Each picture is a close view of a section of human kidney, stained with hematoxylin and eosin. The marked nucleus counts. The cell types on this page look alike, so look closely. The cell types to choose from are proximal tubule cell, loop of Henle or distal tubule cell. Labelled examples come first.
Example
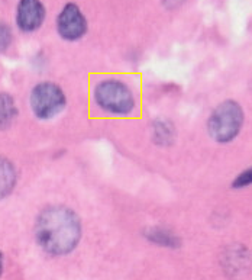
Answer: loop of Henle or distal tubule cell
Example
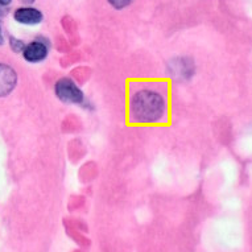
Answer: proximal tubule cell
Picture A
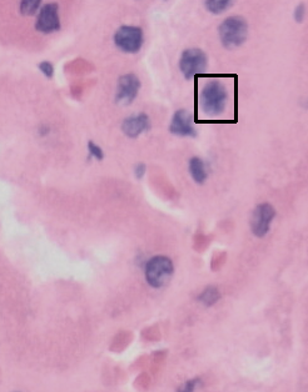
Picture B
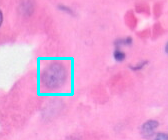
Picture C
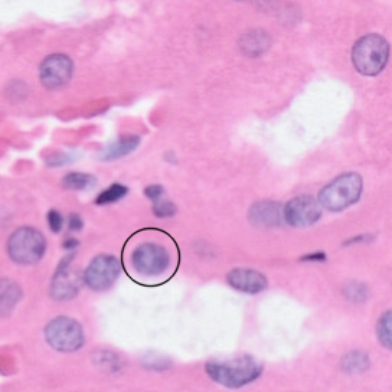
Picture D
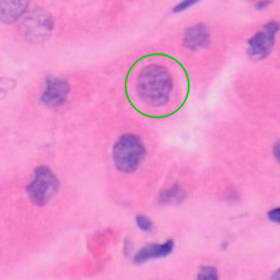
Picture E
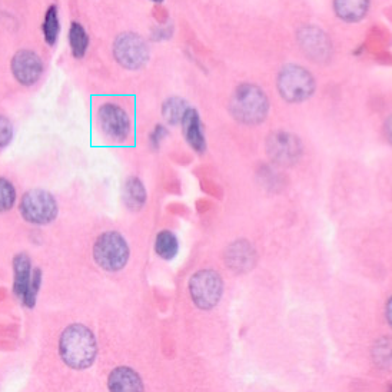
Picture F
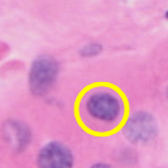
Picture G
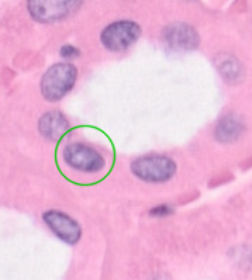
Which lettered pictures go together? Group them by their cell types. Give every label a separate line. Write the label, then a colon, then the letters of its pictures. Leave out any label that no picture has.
proximal tubule cell: B, D
loop of Henle or distal tubule cell: A, C, E, F, G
